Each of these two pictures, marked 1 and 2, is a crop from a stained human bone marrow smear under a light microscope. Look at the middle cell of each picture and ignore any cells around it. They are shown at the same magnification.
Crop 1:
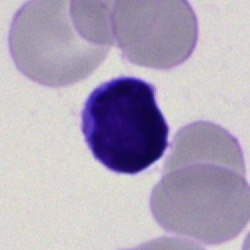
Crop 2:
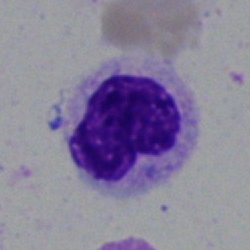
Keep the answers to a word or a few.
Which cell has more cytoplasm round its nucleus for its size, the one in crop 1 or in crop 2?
2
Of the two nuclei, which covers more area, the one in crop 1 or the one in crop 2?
2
